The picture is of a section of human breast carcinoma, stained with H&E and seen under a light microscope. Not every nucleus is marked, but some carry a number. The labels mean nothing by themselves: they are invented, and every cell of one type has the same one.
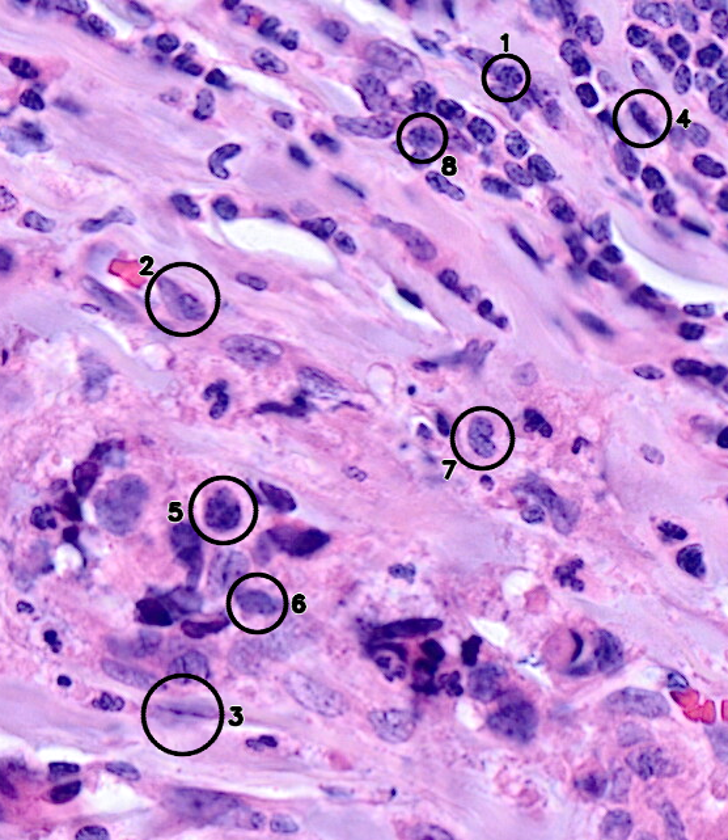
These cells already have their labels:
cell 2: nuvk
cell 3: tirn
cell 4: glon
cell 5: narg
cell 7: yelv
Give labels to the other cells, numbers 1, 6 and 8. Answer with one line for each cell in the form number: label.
1: glon
6: narg
8: glon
